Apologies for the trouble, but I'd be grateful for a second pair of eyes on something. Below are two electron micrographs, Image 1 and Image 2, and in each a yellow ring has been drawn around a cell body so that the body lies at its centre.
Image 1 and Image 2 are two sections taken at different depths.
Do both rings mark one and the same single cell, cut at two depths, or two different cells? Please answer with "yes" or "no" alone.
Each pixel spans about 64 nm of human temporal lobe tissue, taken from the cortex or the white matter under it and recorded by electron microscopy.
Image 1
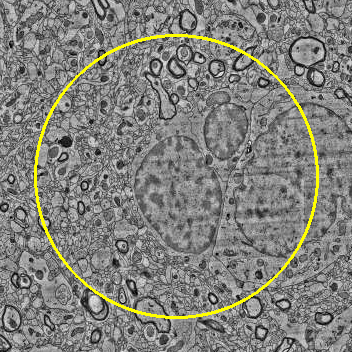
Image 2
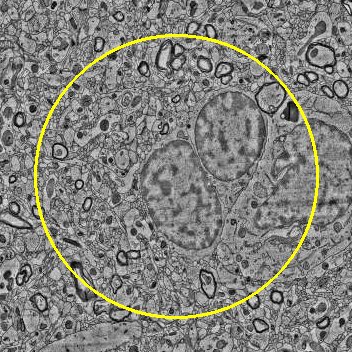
yes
